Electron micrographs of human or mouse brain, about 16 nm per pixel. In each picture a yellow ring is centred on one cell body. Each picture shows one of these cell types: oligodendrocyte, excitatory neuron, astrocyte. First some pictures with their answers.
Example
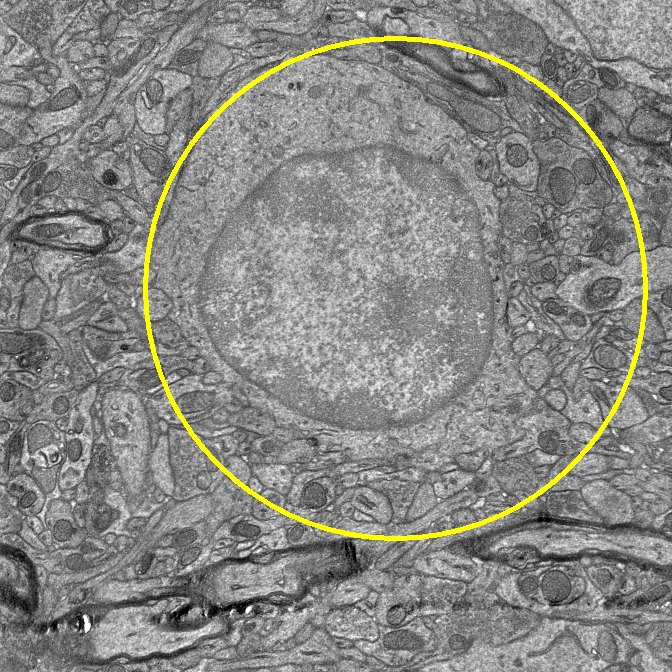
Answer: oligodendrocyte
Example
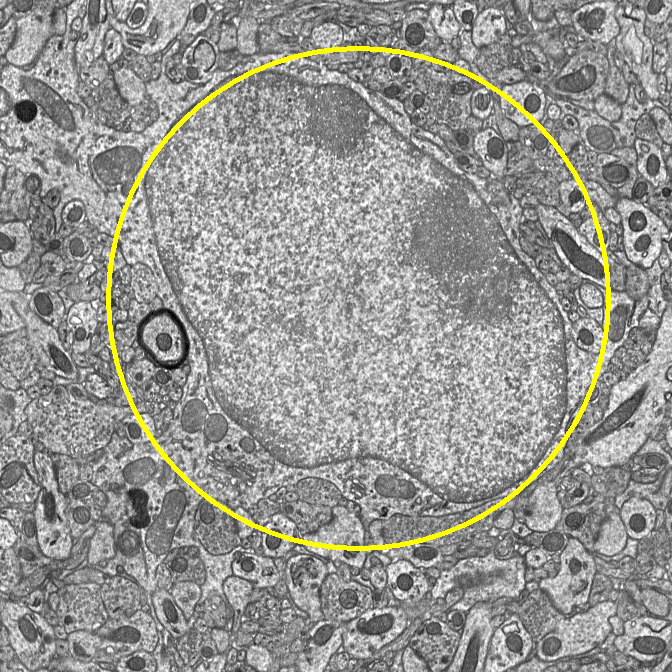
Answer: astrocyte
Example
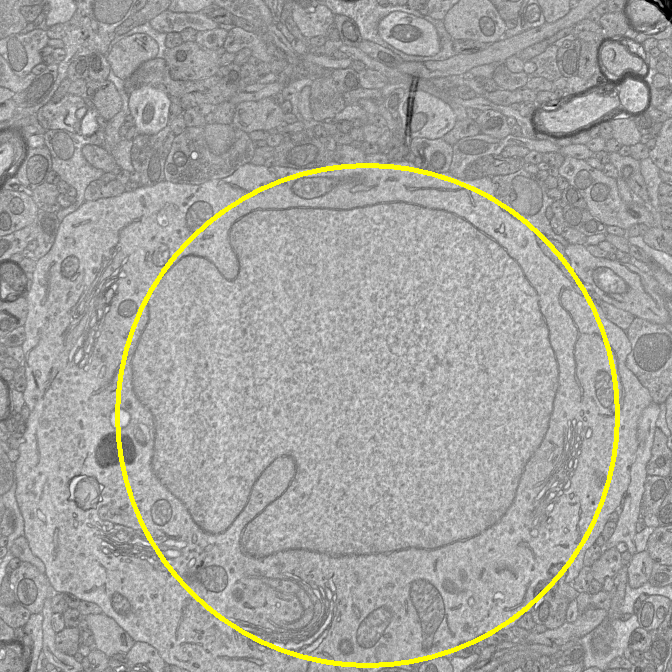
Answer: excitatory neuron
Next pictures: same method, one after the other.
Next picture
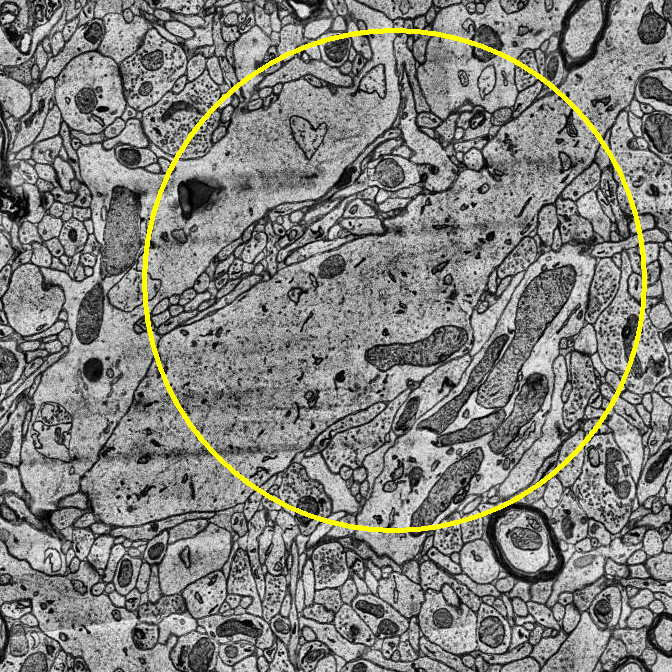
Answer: oligodendrocyte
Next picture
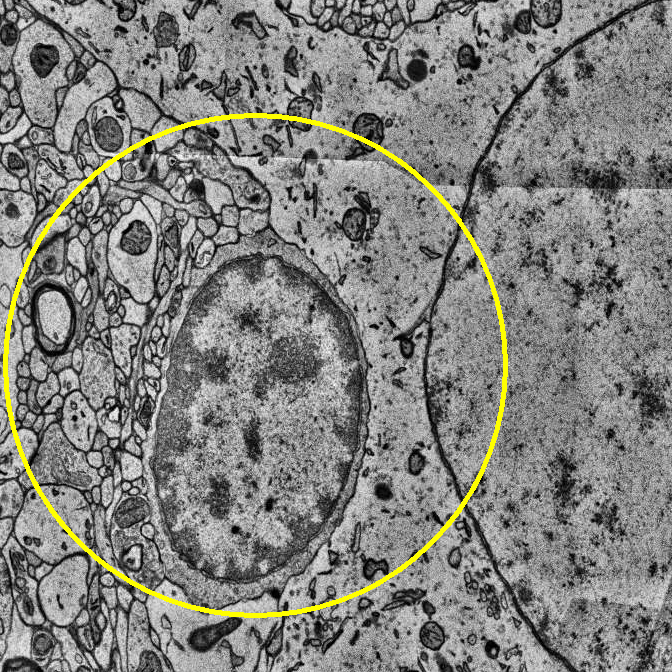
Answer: oligodendrocyte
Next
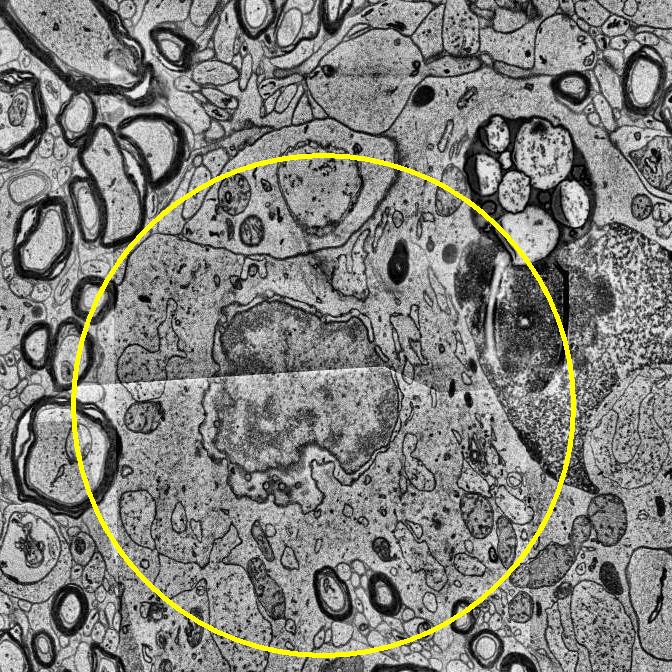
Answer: astrocyte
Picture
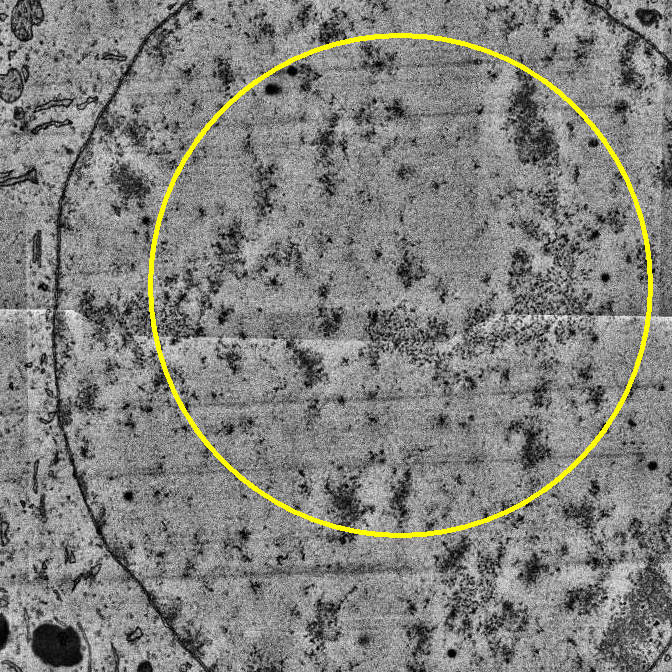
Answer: excitatory neuron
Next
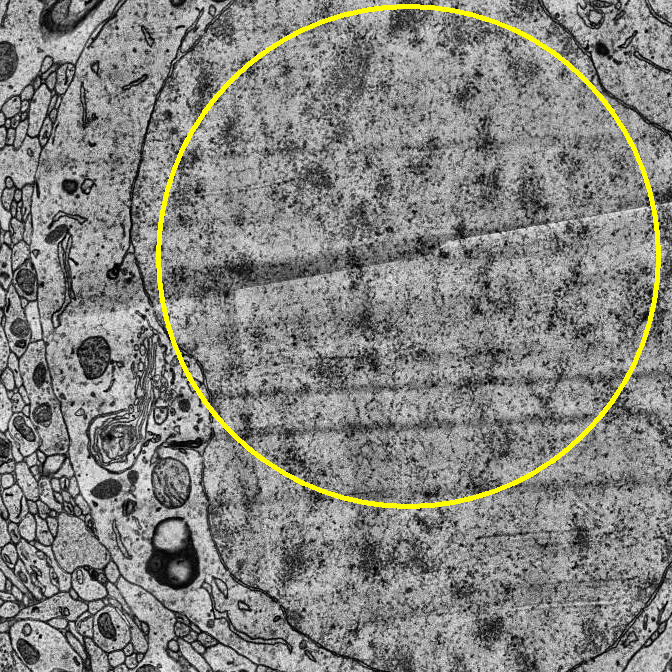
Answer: excitatory neuron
